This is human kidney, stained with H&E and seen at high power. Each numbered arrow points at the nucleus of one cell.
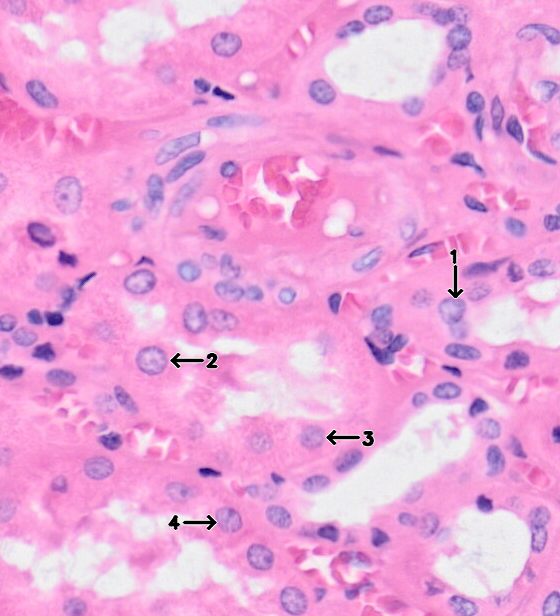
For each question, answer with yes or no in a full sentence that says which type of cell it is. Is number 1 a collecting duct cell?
Yes, exactly, the cell numbered 1 is a collecting duct cell.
